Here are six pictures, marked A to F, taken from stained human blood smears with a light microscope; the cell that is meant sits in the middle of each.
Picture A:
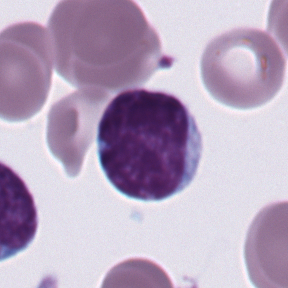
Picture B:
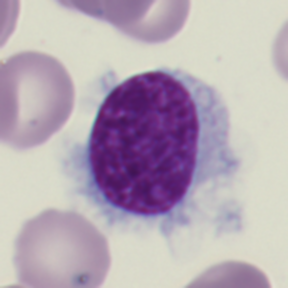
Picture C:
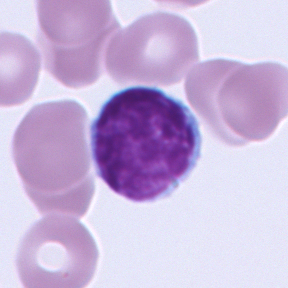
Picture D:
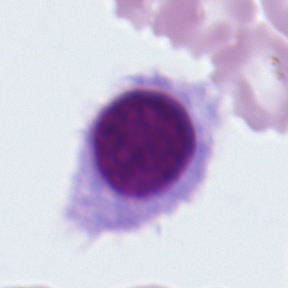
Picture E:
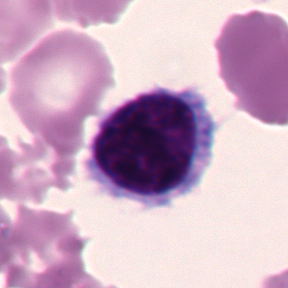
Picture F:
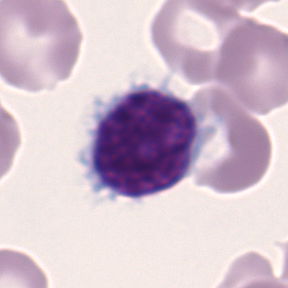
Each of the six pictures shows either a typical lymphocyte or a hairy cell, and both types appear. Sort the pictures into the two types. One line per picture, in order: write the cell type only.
typical lymphocyte
hairy cell
typical lymphocyte
hairy cell
hairy cell
hairy cell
